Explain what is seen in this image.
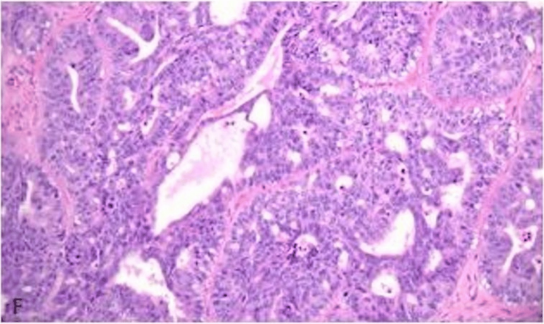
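High-power view of a tumor in which low cuboidal epithelial cells, stacked in several layers, line tubules and small gland-like lumens set in compact nests. Thin pink fibrous strands separate the epithelial nests, and the largest lumen holds pale pink secretion.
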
